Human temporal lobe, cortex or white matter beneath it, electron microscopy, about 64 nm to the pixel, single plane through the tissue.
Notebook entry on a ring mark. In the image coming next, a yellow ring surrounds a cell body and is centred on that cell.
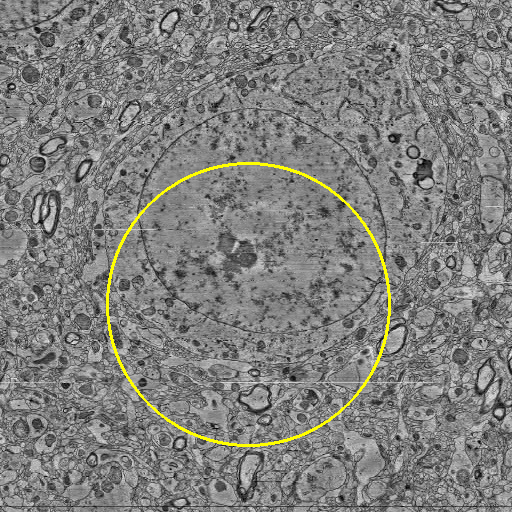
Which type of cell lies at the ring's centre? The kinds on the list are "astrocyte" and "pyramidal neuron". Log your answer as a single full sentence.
Centred in the yellow ring is a pyramidal neuron, the cell recorded for this image.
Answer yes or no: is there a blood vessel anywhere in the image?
No, none shows.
